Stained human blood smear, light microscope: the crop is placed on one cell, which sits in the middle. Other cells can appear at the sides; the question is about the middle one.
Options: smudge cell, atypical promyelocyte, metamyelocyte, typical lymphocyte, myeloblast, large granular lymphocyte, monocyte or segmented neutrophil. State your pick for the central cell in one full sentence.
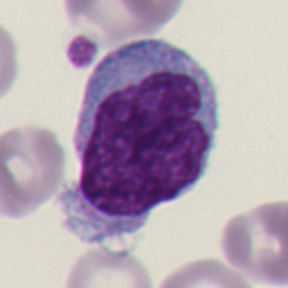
This crop has a monocyte at its centre.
